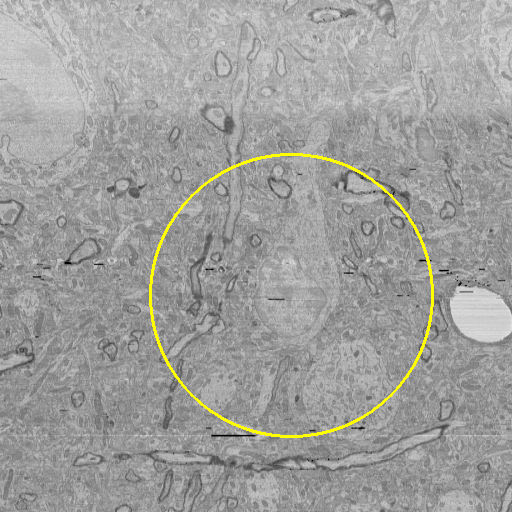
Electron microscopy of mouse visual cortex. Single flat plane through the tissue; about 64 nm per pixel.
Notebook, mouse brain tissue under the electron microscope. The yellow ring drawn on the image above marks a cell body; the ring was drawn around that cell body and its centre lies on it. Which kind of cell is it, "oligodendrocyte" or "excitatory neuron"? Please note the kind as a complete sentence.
The marked cell body is that of an oligodendrocyte.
